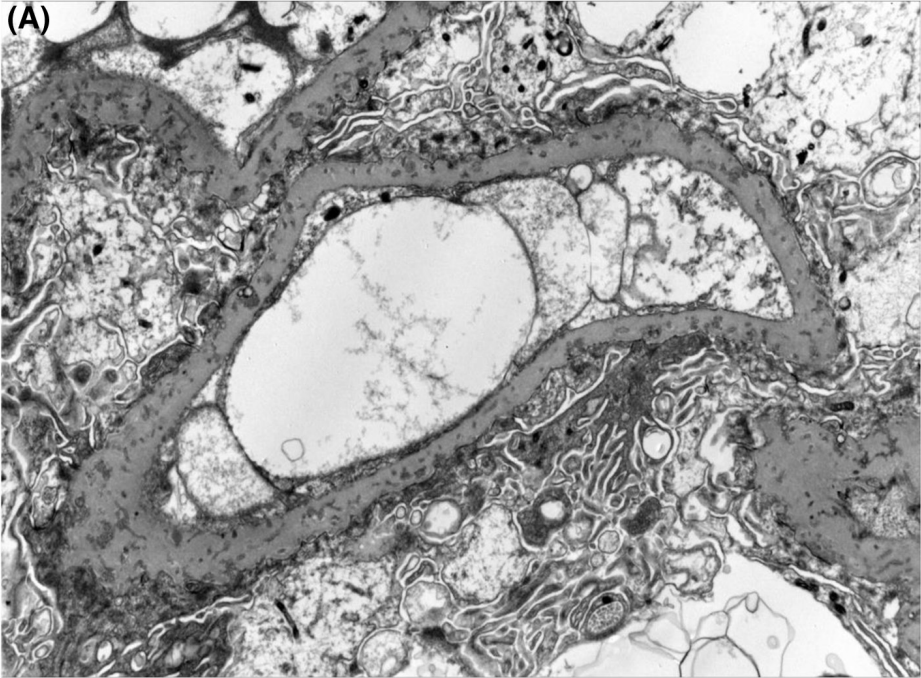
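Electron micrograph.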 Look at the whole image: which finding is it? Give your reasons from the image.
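Irregularly thickened basement membrane. The grey membrane band around the lumen is very broad. Its width varies from place to place. Small dark particles are scattered within the band.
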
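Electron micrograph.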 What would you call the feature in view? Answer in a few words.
glomerular capillary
